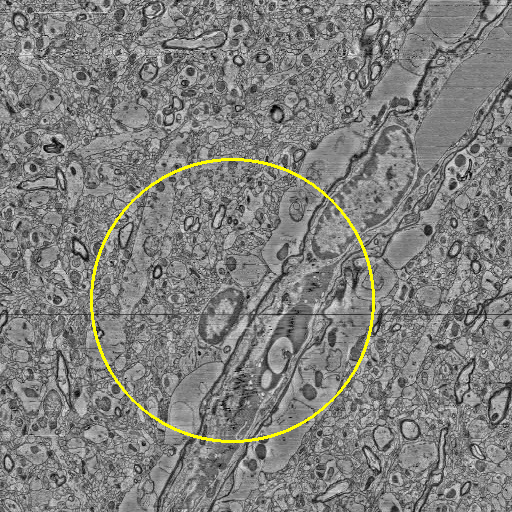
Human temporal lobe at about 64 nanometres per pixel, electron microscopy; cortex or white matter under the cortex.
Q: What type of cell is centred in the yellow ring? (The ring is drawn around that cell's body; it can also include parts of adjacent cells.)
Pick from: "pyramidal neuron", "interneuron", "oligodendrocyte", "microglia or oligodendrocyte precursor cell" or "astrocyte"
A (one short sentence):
The yellow ring is centred on a microglial cell or oligodendrocyte precursor cell.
